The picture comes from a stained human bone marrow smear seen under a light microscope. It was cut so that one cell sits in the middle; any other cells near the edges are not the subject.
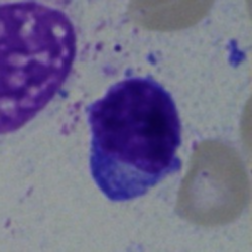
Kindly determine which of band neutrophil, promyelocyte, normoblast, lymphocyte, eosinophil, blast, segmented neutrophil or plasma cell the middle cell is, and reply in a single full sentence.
Present in the middle of the crop is a lymphocyte.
